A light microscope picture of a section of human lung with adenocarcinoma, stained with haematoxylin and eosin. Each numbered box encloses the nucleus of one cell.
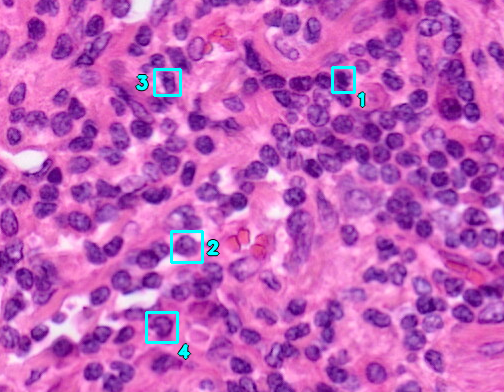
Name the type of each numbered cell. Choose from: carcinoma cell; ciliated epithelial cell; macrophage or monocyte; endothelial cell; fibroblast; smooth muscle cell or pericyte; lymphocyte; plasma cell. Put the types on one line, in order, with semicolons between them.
lymphocyte; lymphocyte; lymphocyte; plasma cell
